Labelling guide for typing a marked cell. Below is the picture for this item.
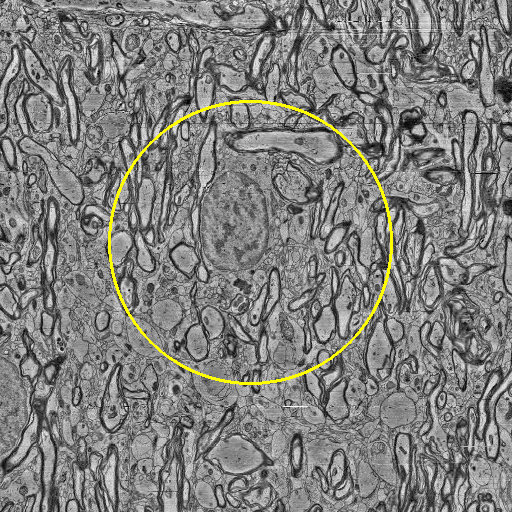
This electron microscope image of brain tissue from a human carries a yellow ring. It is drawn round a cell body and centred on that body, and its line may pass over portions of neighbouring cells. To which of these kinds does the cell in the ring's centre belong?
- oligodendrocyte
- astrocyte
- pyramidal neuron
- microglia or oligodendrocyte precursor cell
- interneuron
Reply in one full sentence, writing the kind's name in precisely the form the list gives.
Here we have an oligodendrocyte at the centre of the yellow ring in the picture.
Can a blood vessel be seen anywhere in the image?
No, no vessel appears in the picture.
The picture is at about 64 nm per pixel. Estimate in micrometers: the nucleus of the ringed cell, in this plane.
At approximately 7 by 4 micrometres, the nucleus is clearly longer than it is wide in this plane.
